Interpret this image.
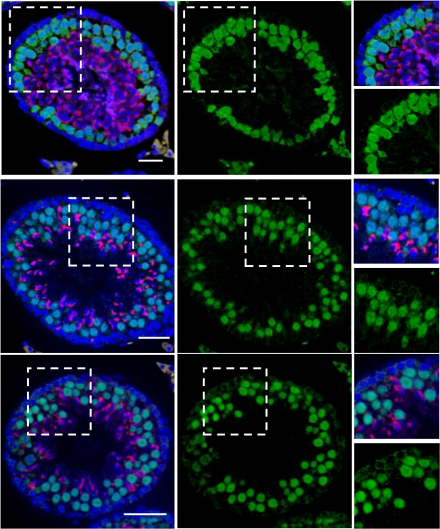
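These are cross-sections of seminiferous tubules in which a thick ring of large round spermatocytes is filled with green. Outside this ring, along the tubule wall, lie small blue nuclei without green, and toward the lumen lie many small cells with red caps or spots beside their blue nuclei. The enlargements show the green spermatocytes closely packed, with round nuclei that are bright in green.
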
